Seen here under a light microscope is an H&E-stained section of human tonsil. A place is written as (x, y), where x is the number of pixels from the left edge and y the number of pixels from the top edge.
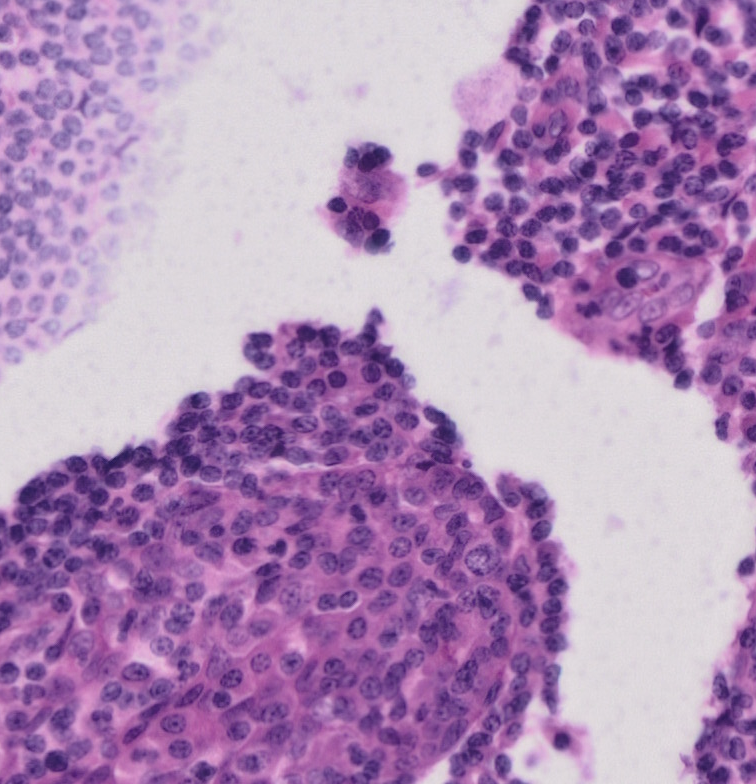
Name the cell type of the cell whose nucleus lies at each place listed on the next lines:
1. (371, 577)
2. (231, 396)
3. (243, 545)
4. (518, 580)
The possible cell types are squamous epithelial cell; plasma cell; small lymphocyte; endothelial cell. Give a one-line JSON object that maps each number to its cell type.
{"1": "plasma cell", "2": "small lymphocyte", "3": "plasma cell", "4": "plasma cell"}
